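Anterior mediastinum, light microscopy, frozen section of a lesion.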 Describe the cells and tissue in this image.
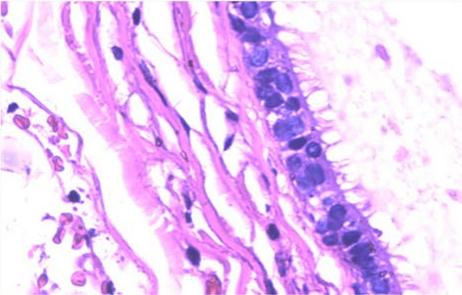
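This is the wall of a cyst, lined on its inner side by a ciliated columnar epithelium that rests on the fibrous capsule. Towards one side, wavy pink bands of fibrous connective tissue run in parallel strands with scattered elongated dark nuclei between them, and a few small rounded red cells lie in the loose spaces. Along the other side lies a continuous band of tall cells with crowded, oval, dark purple nuclei, set at different heights so the layer looks somewhat stacked. Their free surface faces a pale, lightly stained space and carries a faint fringe.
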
